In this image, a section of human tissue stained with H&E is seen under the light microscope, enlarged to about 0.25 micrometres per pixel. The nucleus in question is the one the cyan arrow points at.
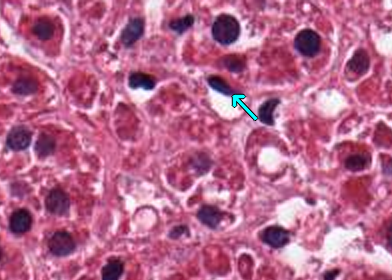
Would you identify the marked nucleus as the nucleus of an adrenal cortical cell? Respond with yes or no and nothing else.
no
